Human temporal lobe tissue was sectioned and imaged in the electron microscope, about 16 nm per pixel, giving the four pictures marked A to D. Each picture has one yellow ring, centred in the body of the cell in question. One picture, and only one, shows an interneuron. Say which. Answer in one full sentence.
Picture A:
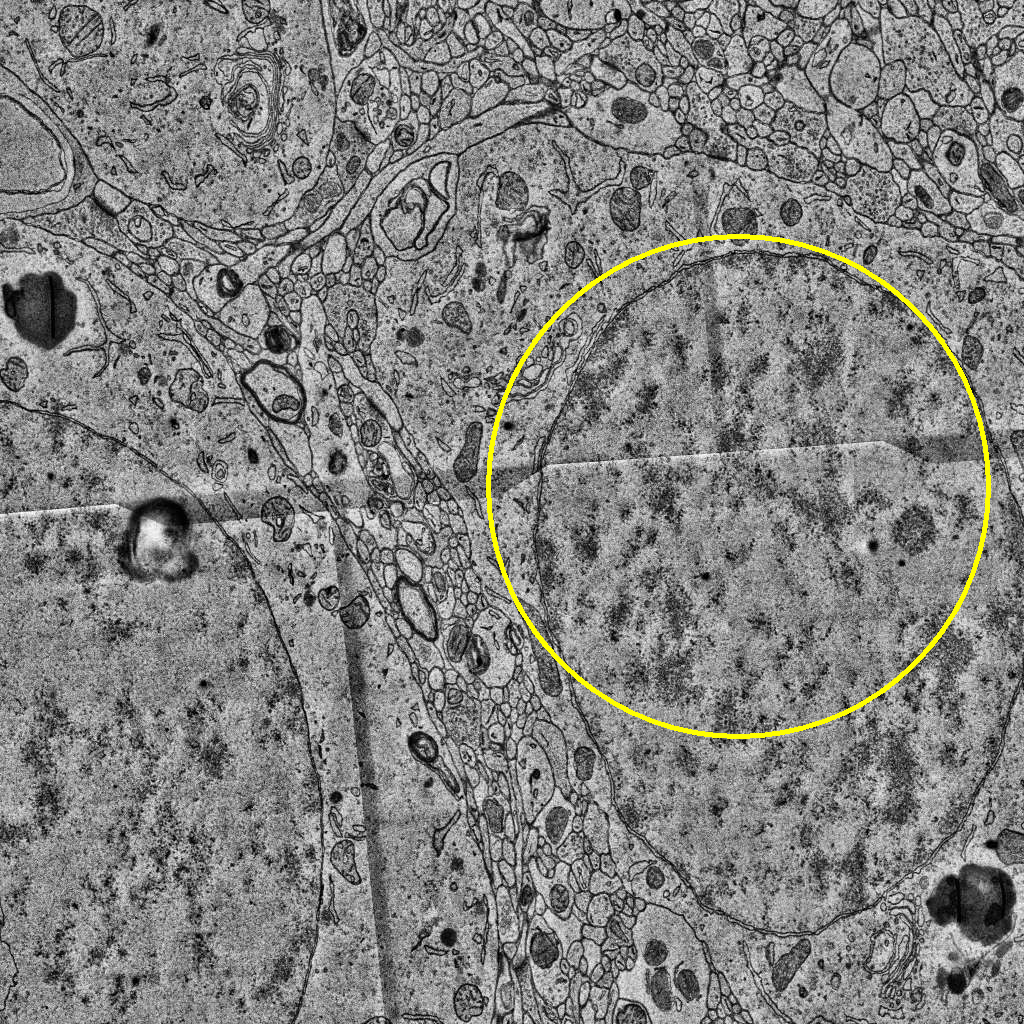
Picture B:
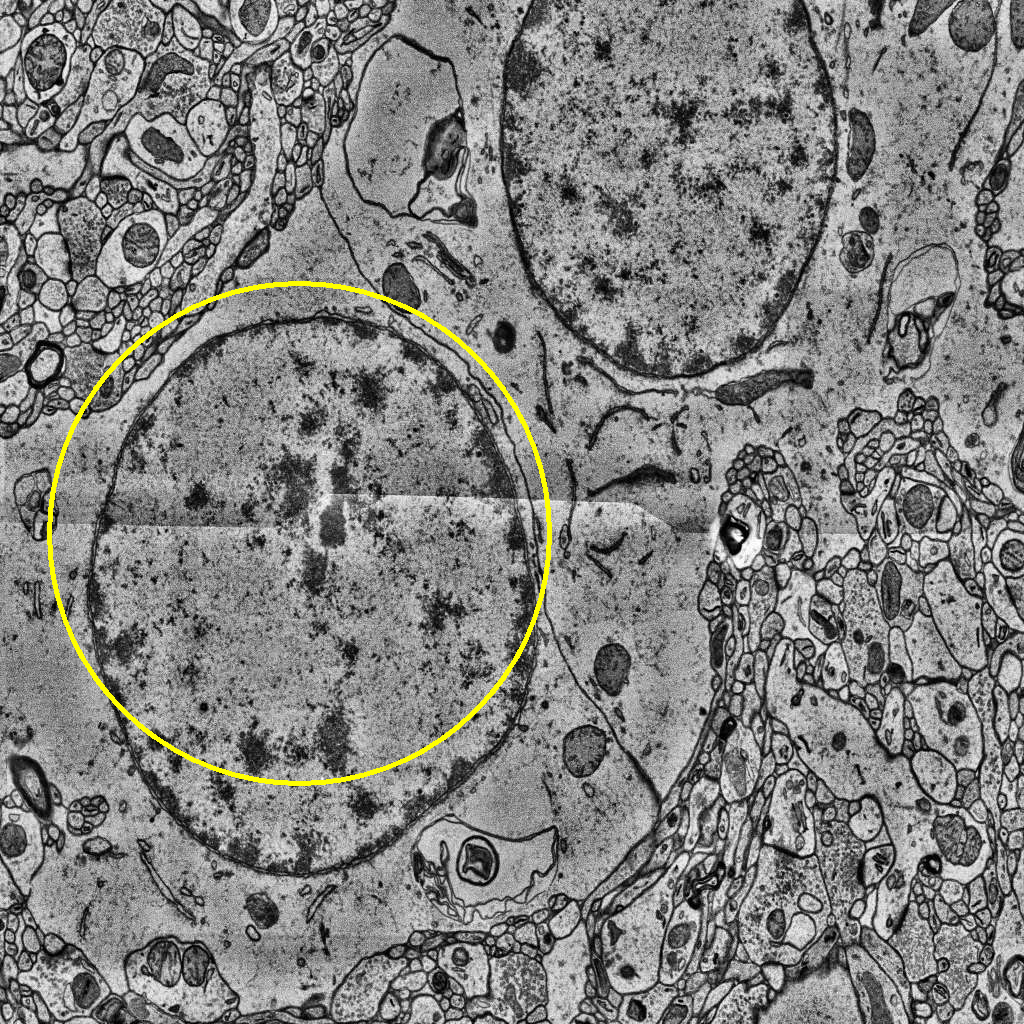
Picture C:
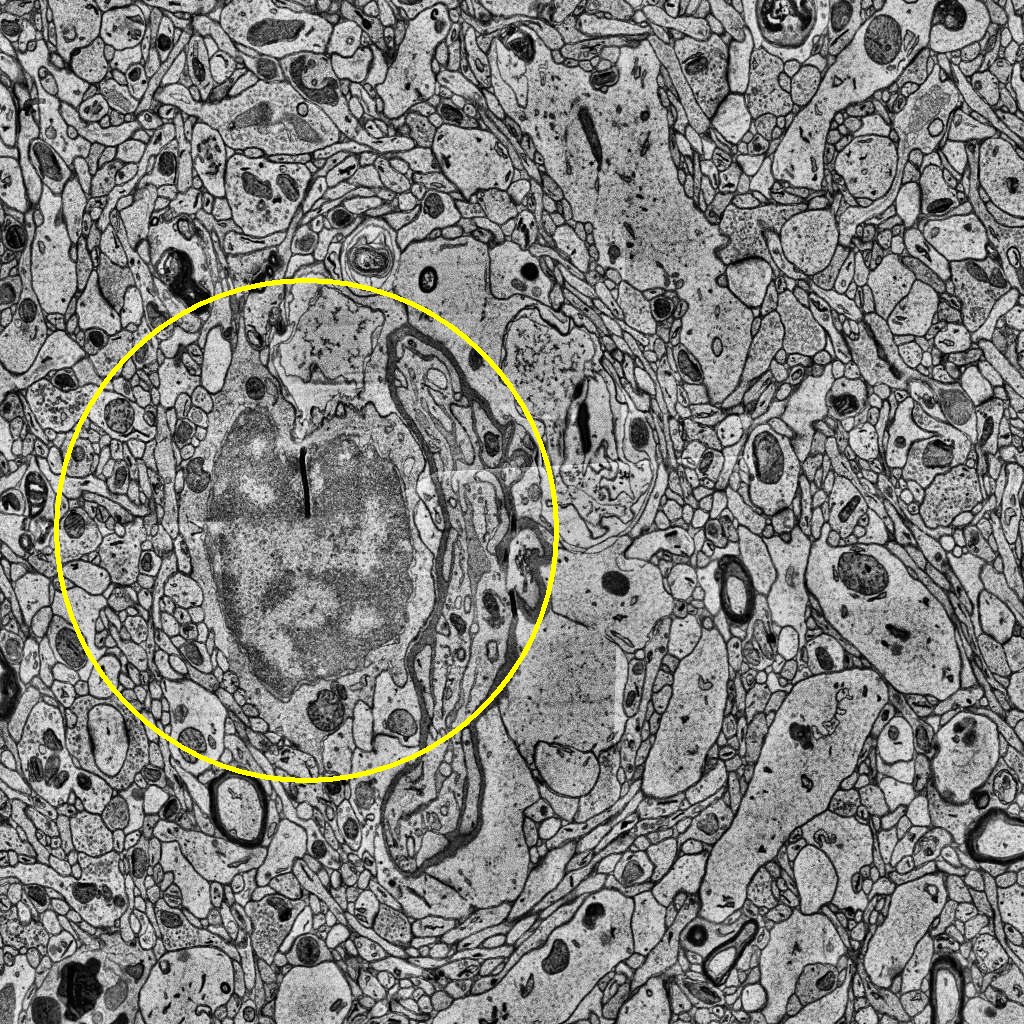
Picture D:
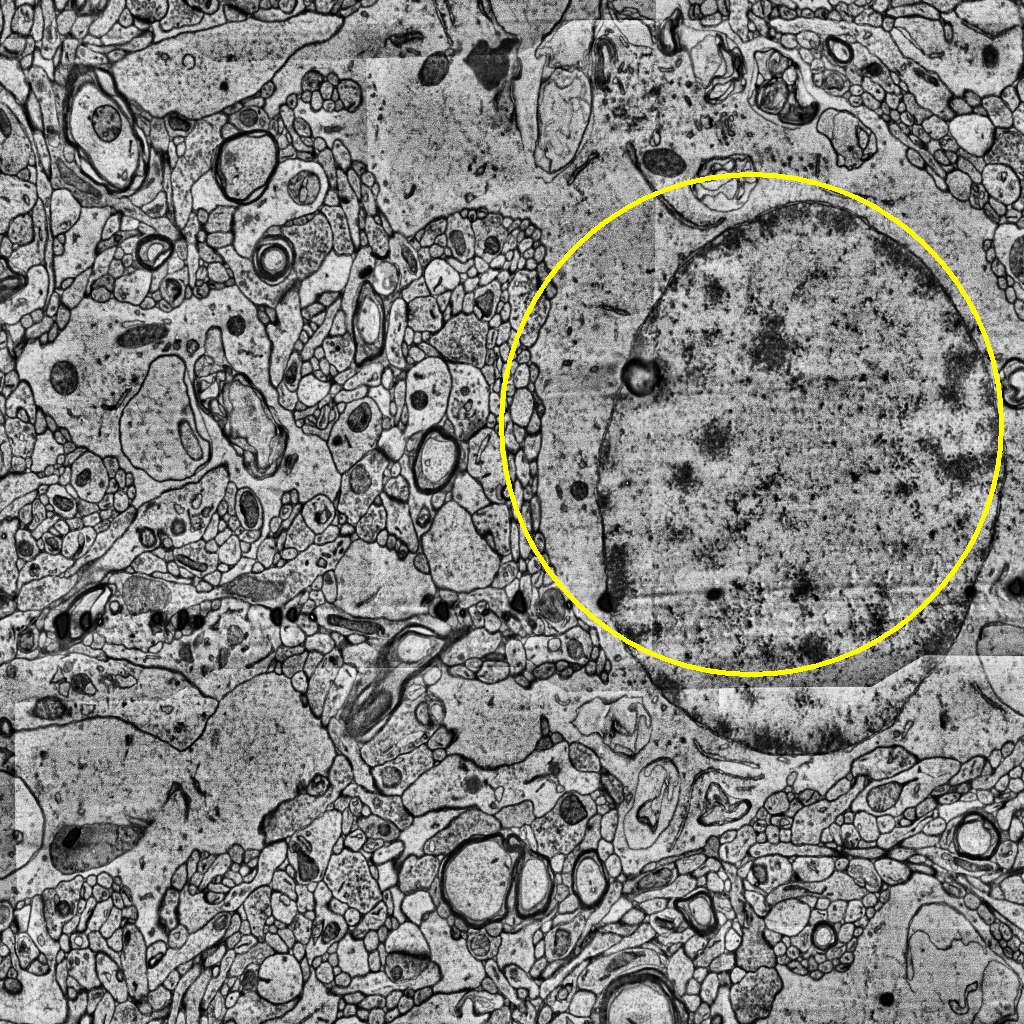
Picture A shows the interneuron.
